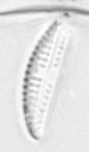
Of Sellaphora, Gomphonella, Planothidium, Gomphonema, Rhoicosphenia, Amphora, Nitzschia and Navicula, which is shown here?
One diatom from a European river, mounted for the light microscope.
Amphora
